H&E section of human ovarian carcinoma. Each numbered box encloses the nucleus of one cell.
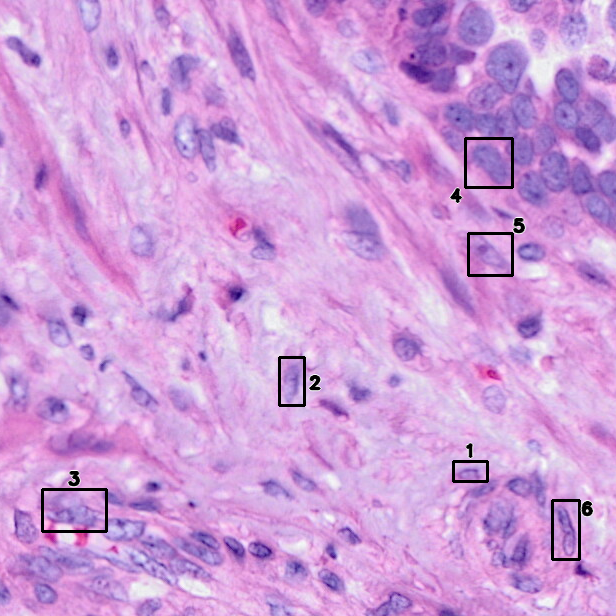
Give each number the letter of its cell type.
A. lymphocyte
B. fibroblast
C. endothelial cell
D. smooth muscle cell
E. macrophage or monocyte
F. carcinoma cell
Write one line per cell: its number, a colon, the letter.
1: B
2: B
3: C
4: F
5: B
6: B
